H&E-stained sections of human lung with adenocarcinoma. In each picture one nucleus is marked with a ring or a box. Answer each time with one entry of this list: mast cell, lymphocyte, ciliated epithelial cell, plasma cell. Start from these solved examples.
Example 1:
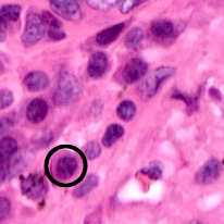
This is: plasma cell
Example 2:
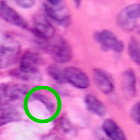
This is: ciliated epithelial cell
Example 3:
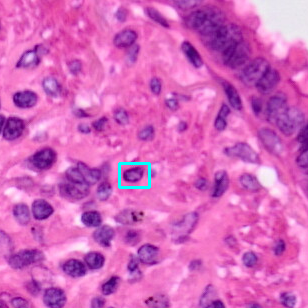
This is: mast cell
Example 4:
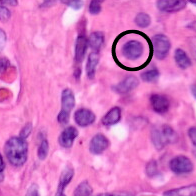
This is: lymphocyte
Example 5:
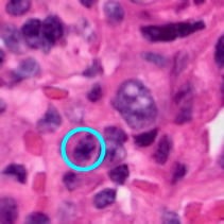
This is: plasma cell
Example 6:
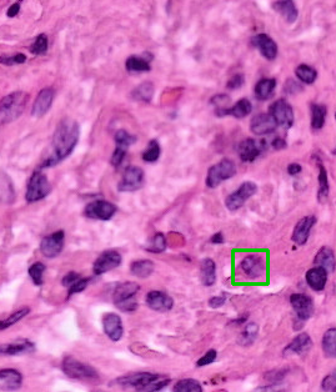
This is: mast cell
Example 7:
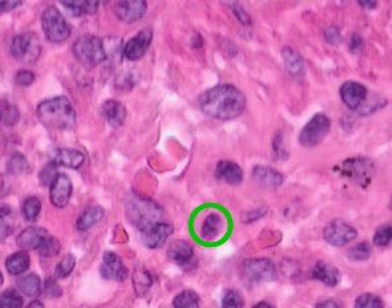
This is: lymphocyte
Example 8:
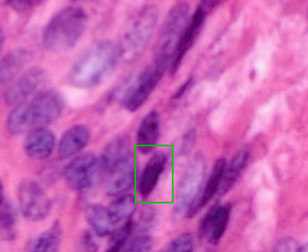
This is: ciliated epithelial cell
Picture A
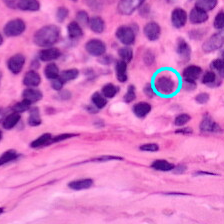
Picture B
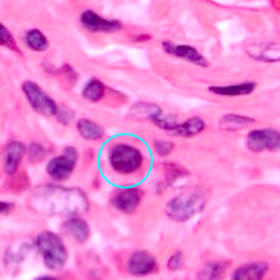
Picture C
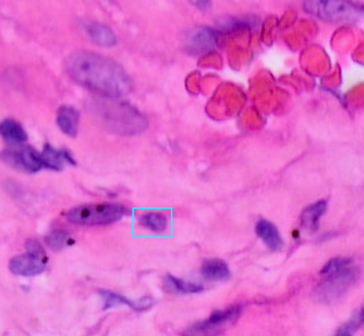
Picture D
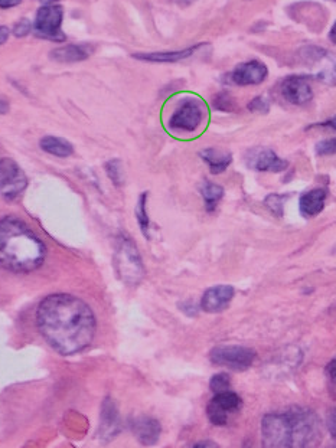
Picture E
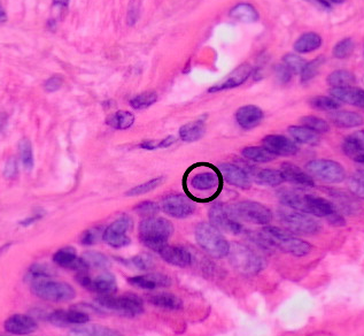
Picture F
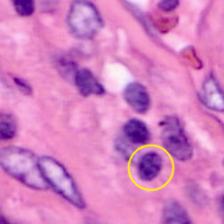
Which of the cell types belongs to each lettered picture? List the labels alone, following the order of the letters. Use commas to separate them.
lymphocyte, plasma cell, mast cell, plasma cell, ciliated epithelial cell, lymphocyte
